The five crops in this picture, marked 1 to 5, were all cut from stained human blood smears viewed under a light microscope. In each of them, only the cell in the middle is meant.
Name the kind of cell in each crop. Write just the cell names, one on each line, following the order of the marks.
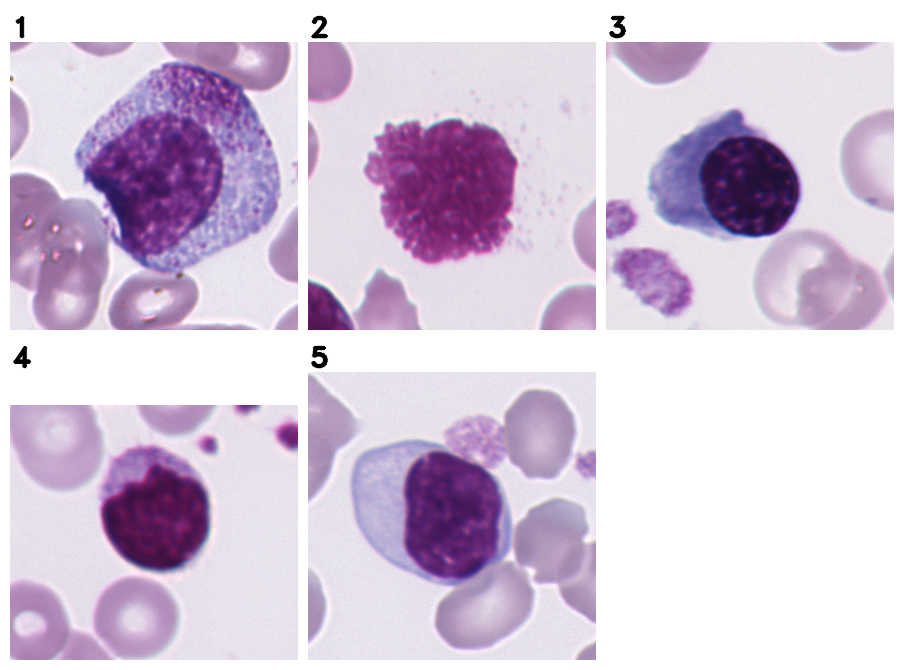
promyelocyte
smudge cell
normoblast
large granular lymphocyte
typical lymphocyte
